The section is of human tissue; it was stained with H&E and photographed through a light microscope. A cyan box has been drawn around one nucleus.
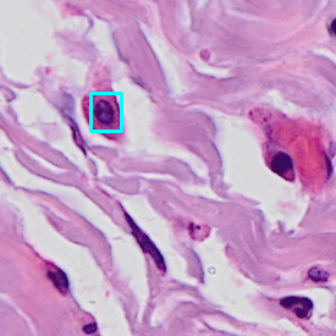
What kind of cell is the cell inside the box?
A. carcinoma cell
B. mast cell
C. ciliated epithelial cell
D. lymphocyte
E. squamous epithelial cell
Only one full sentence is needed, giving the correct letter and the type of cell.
Hey, it is option B: the cell inside the box is a mast cell.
